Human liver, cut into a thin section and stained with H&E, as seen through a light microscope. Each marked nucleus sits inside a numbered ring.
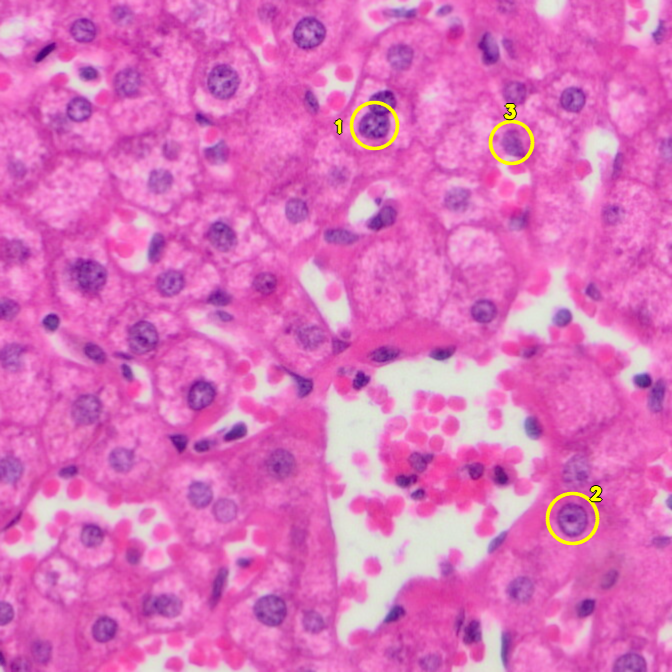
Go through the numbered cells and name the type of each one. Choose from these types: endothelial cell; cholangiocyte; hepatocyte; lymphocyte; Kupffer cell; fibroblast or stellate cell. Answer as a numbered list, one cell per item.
1. hepatocyte
2. hepatocyte
3. endothelial cell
